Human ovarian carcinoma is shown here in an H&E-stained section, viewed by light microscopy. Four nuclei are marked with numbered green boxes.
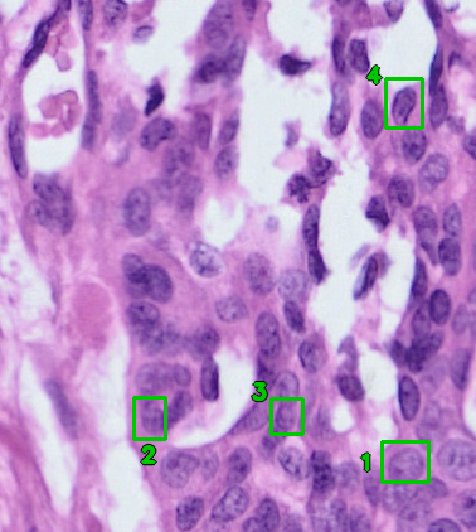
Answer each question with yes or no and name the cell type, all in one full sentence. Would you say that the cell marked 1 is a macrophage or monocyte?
No, cell 1 is not a macrophage or monocyte; it is a carcinoma cell.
